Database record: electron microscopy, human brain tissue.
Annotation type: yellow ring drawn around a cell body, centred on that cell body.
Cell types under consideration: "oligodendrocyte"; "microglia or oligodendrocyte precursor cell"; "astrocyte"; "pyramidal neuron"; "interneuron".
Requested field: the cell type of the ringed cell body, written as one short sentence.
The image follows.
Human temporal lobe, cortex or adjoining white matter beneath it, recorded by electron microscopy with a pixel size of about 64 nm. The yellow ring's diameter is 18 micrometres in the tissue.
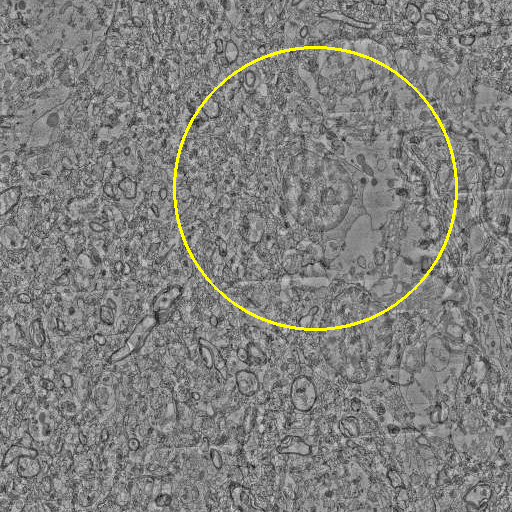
The ringed cell body represents an oligodendrocyte.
